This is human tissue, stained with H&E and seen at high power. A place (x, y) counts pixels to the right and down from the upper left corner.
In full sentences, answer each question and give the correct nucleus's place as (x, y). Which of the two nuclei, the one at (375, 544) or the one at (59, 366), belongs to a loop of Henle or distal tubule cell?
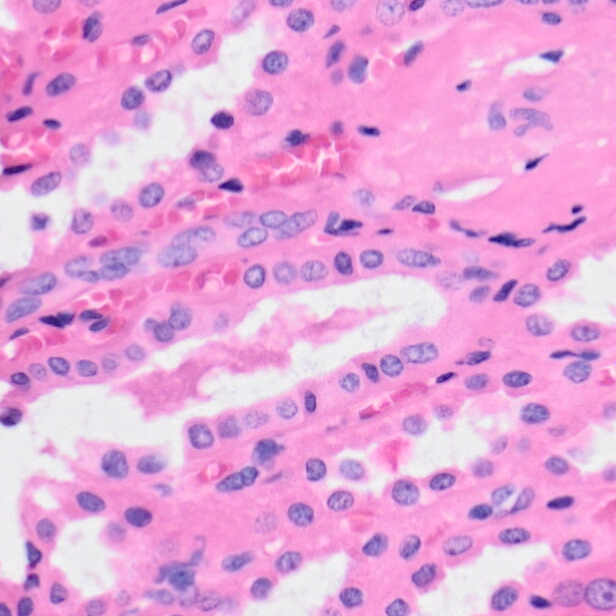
The nucleus positioned at (375, 544) is the one that belongs to a loop of Henle or distal tubule cell.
